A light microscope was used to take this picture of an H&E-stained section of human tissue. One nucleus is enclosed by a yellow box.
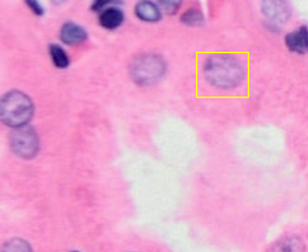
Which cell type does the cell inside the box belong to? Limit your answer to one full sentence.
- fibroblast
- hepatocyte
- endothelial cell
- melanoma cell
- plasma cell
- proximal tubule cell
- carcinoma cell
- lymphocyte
By its classification, the cell inside the box is a proximal tubule cell.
